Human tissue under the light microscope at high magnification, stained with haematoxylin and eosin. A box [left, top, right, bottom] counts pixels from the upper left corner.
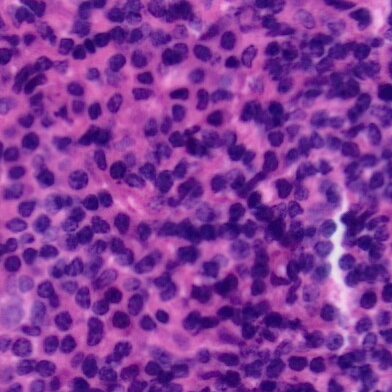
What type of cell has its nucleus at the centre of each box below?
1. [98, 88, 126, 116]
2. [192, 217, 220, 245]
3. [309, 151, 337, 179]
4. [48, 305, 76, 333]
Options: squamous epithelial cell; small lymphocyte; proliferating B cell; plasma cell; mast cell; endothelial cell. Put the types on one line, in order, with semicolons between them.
plasma cell; small lymphocyte; small lymphocyte; plasma cell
